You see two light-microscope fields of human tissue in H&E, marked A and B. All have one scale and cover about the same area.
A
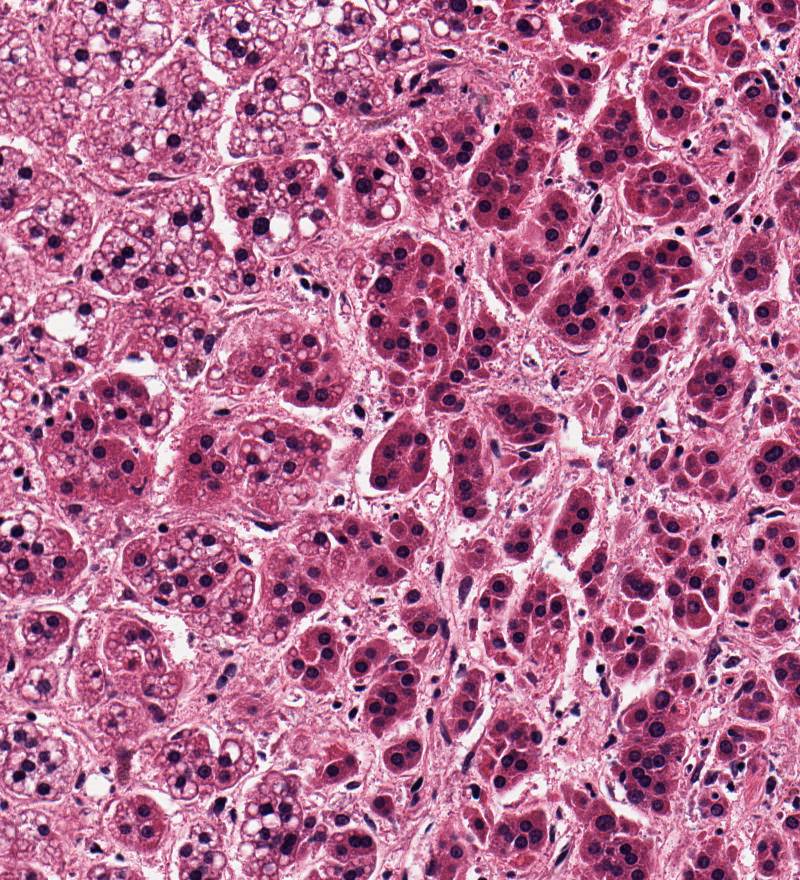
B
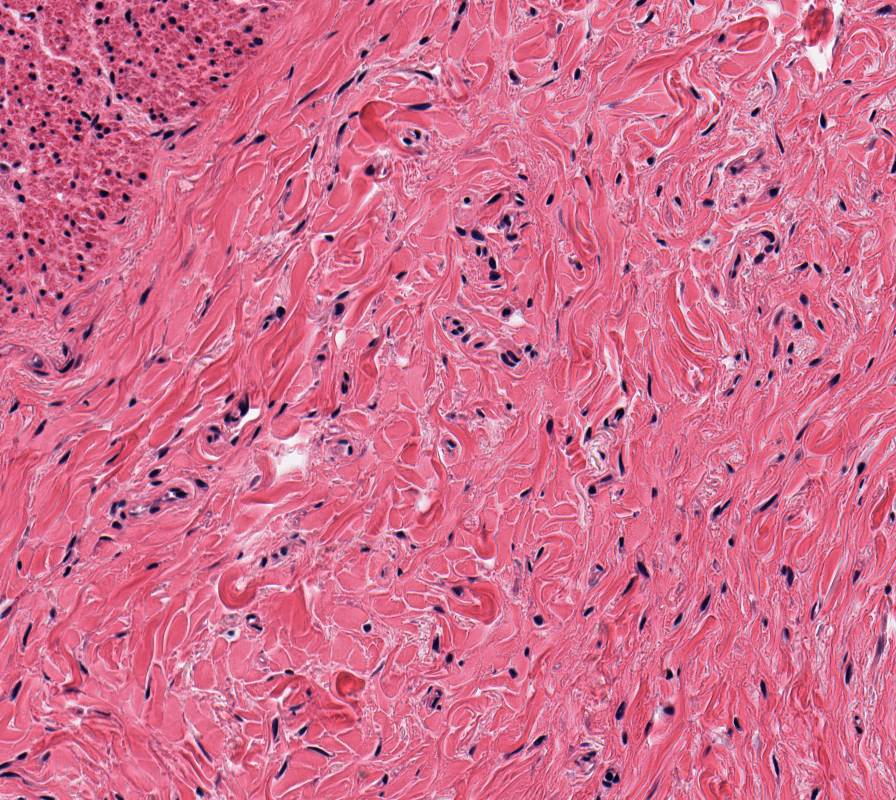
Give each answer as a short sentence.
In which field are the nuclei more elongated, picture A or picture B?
On the whole the nuclei of picture B are more drawn out than those of picture A.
